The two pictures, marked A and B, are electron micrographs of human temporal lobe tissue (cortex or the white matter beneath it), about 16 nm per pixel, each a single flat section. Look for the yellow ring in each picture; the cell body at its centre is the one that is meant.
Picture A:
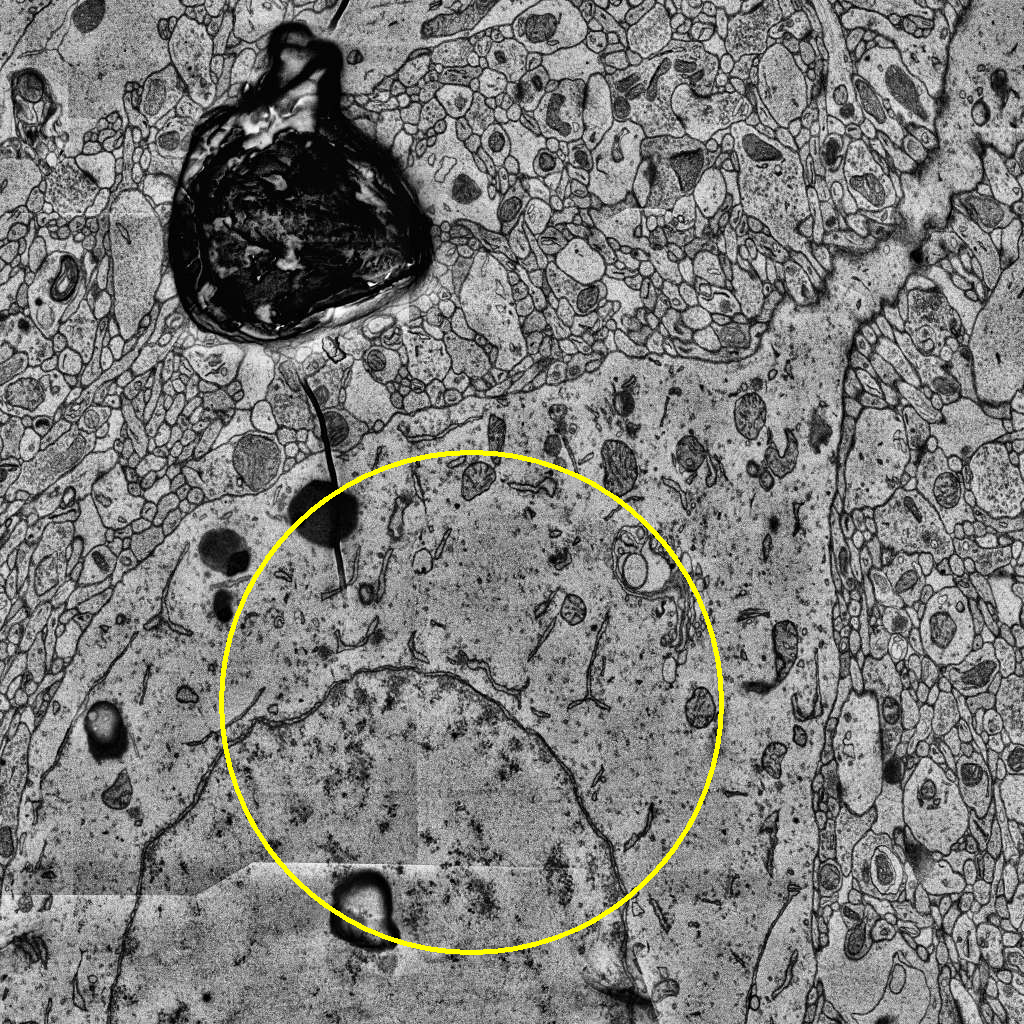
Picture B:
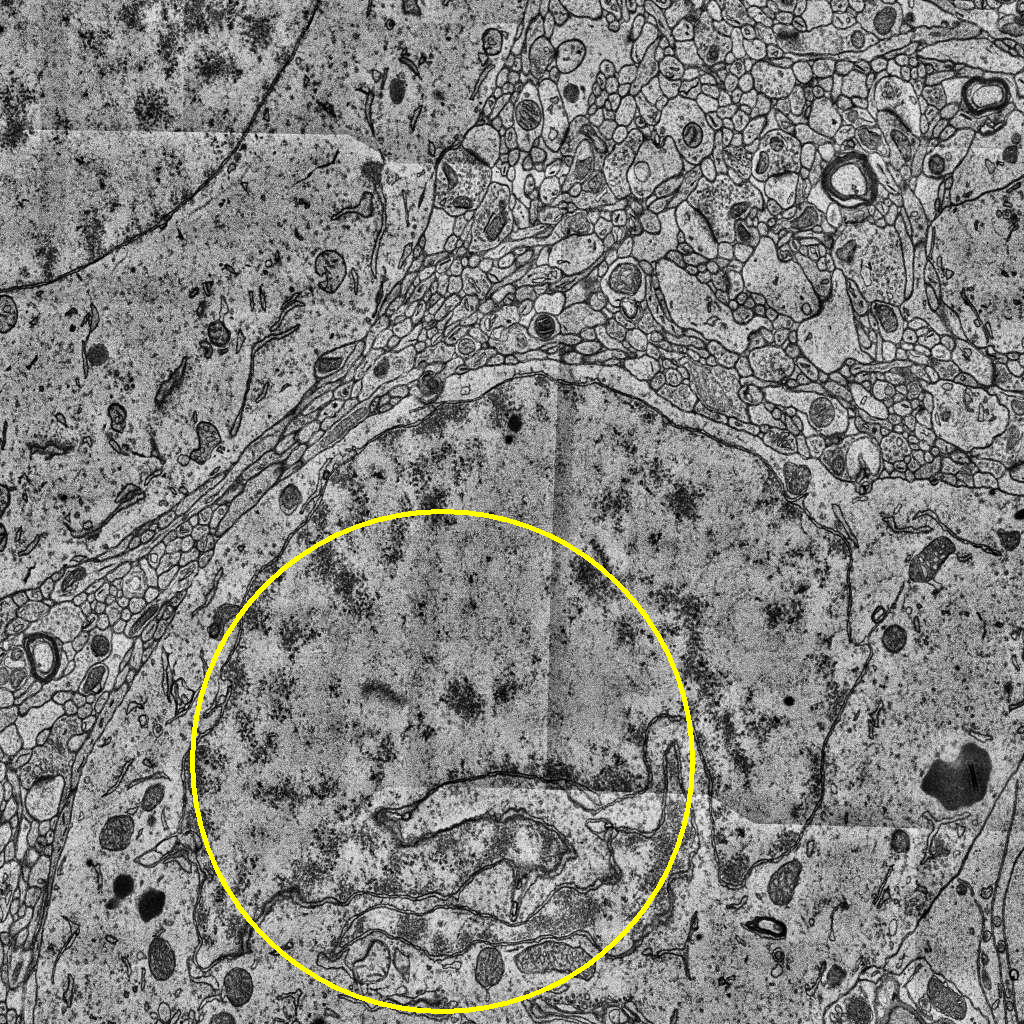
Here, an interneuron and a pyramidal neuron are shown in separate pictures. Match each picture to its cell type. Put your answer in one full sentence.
Picture B shows an interneuron, while picture A shows a pyramidal neuron.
